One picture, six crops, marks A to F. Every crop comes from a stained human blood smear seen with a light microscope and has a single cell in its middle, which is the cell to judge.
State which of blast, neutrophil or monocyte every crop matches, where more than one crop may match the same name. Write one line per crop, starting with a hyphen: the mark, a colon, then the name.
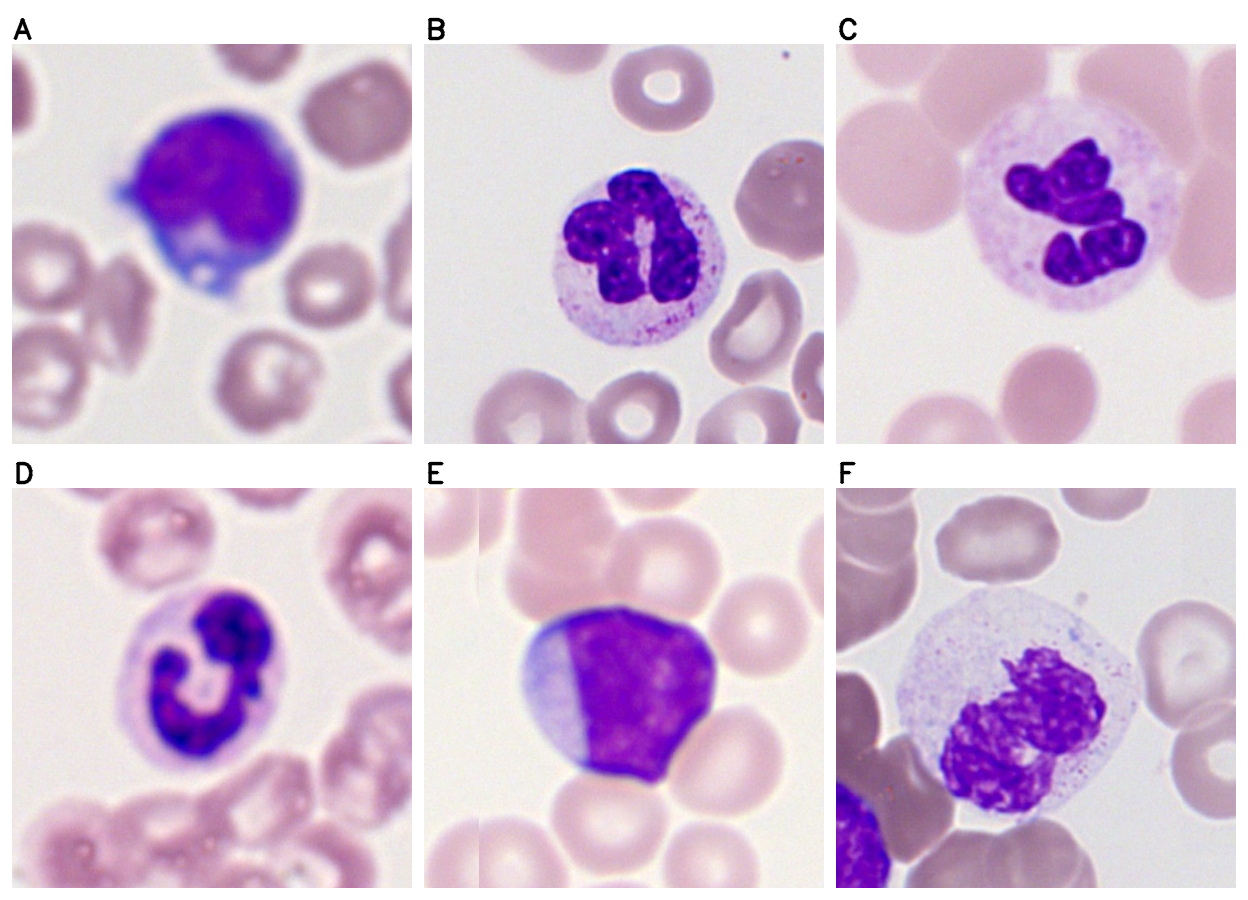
- A: monocyte
- B: neutrophil
- C: neutrophil
- D: neutrophil
- E: blast
- F: neutrophil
